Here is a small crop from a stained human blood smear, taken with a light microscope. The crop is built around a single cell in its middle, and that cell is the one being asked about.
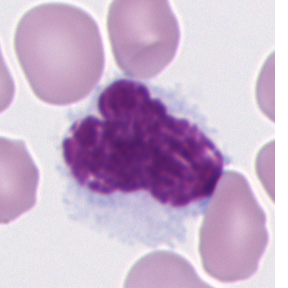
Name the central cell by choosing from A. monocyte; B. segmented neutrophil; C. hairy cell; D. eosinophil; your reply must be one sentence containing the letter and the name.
The central cell in this crop is a hairy cell, so the correct choice is option C.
